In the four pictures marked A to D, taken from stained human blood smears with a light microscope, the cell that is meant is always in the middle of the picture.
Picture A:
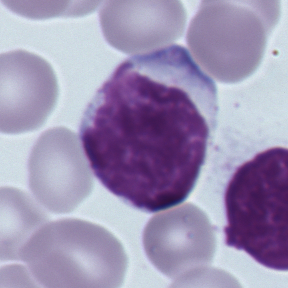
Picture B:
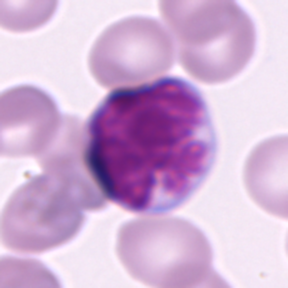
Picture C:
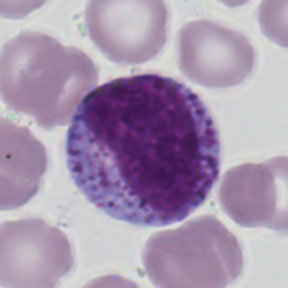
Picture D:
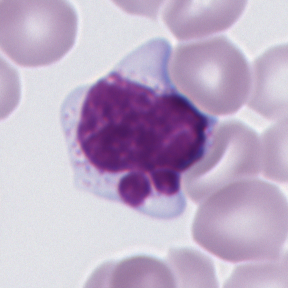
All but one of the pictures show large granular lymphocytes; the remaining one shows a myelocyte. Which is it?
C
